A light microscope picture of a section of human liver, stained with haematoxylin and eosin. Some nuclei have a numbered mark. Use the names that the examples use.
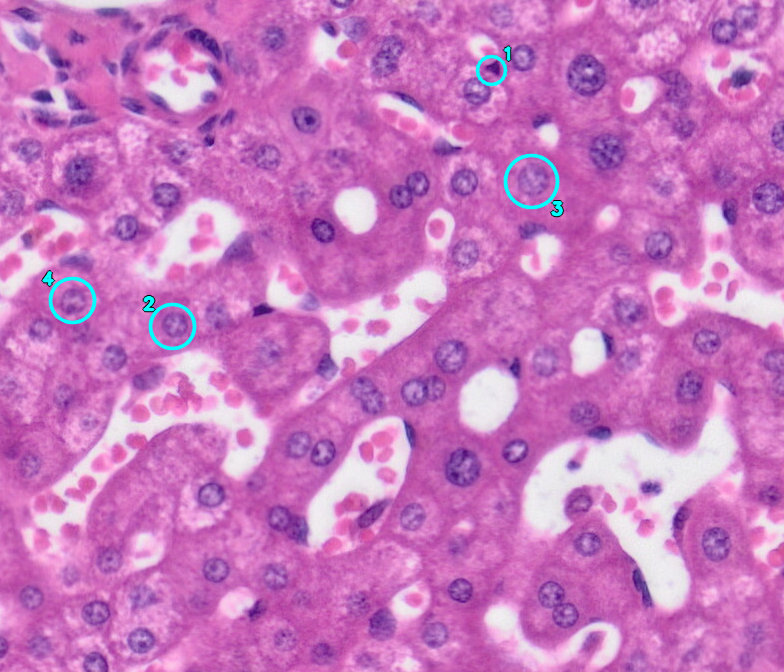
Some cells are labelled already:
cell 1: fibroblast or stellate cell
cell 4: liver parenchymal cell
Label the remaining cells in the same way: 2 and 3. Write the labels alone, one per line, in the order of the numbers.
liver parenchymal cell
liver parenchymal cell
